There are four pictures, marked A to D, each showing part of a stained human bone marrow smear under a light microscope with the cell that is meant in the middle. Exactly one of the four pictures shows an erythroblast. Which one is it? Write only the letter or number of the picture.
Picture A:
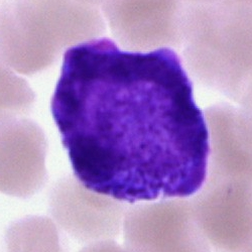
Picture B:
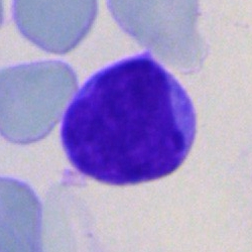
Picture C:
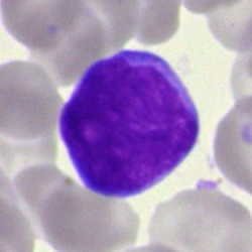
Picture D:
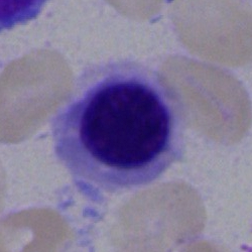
D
